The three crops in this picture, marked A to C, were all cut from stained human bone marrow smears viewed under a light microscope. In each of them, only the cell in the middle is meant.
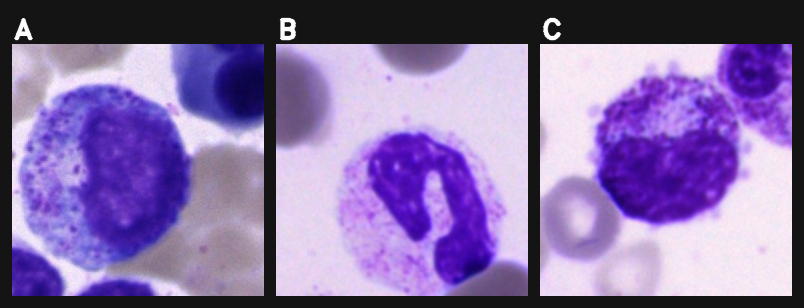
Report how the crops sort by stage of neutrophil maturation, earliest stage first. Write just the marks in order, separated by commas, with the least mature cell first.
A, C, B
